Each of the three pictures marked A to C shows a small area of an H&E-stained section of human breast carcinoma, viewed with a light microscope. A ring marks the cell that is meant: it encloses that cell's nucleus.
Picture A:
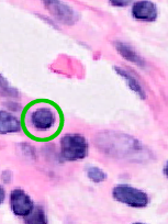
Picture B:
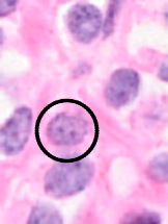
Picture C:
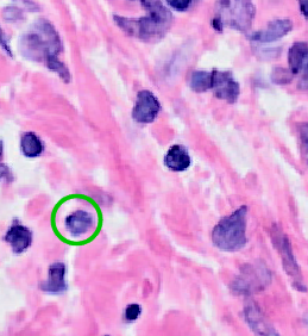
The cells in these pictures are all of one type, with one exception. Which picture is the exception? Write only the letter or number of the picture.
B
